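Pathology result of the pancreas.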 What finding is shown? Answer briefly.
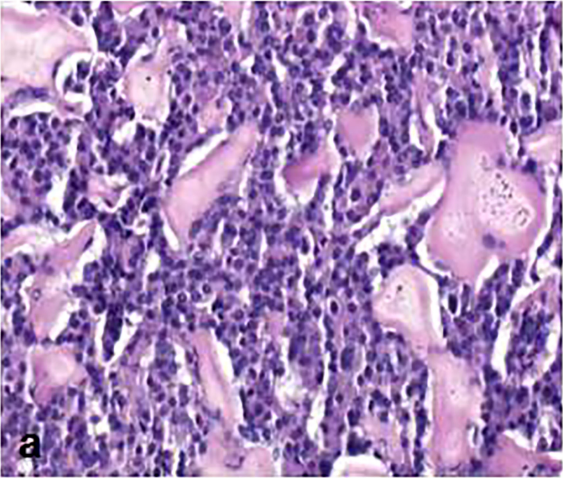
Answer: strips or diffuse sheets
